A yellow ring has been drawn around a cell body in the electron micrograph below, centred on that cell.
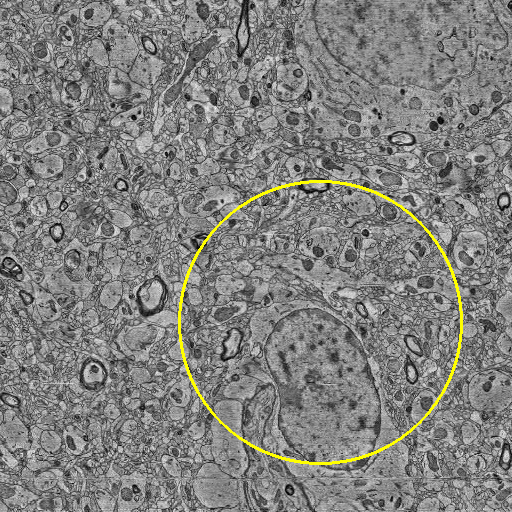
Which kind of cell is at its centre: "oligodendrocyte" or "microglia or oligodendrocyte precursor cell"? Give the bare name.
microglia or oligodendrocyte precursor cell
